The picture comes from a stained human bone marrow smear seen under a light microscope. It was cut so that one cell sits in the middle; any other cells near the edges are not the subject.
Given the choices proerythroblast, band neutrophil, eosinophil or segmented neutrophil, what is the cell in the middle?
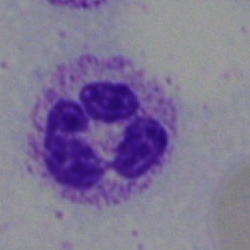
segmented neutrophil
